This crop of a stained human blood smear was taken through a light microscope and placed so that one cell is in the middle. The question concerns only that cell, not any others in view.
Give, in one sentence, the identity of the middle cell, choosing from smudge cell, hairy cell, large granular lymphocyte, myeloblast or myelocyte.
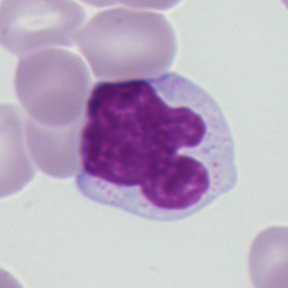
Looking at the middle of the crop, the cell there is a large granular lymphocyte.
